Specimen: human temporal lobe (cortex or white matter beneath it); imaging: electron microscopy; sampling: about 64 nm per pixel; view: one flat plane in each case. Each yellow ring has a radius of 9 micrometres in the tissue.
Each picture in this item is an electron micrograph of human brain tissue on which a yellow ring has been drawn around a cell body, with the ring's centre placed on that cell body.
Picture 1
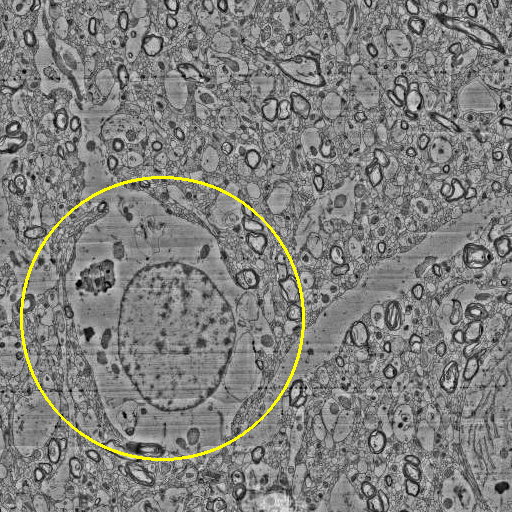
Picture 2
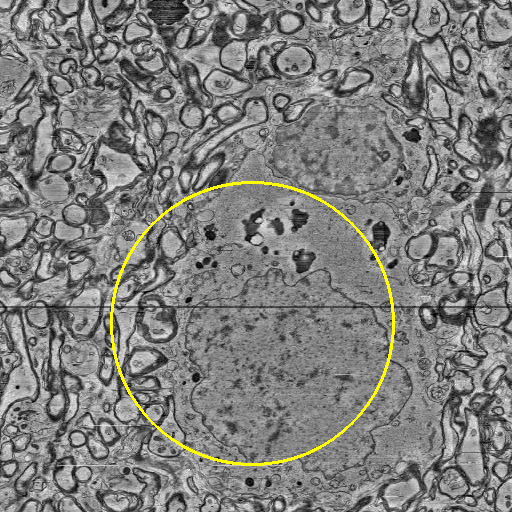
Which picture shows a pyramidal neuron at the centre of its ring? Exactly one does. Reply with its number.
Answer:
2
